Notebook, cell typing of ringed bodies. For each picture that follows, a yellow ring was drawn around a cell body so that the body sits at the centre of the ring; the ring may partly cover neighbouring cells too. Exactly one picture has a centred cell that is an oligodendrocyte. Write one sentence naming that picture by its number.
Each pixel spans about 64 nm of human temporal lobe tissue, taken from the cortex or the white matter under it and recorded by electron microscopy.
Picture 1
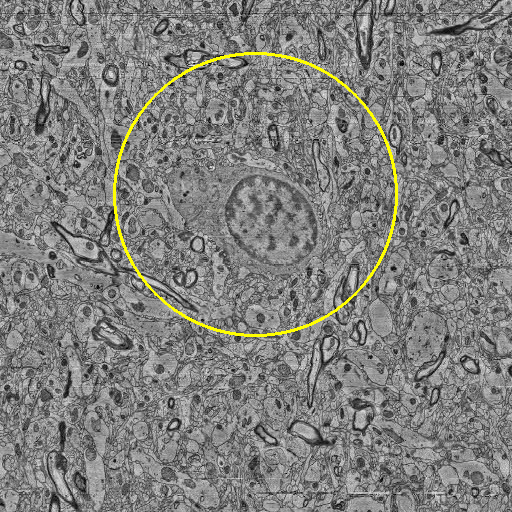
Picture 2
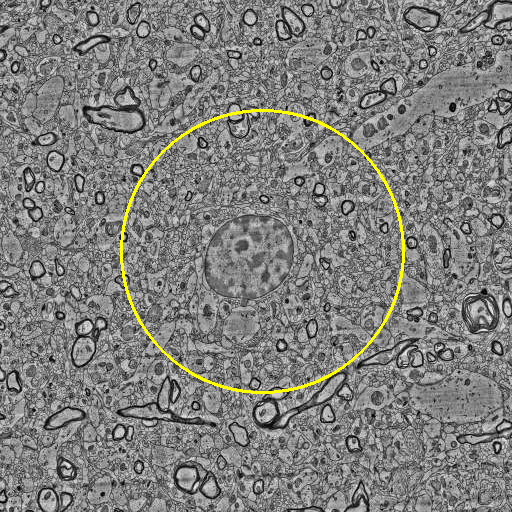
Picture 1 is the one with it at the centre of its ring.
